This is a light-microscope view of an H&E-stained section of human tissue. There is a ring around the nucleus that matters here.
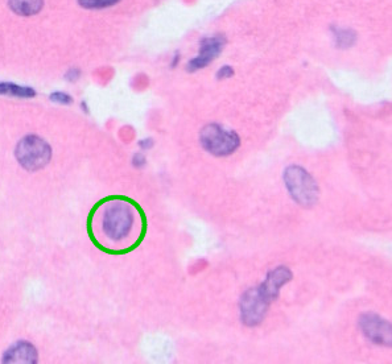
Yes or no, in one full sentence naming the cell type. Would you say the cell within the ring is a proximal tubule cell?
Yes, put very simply, the cell within the ring is a proximal tubule cell.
